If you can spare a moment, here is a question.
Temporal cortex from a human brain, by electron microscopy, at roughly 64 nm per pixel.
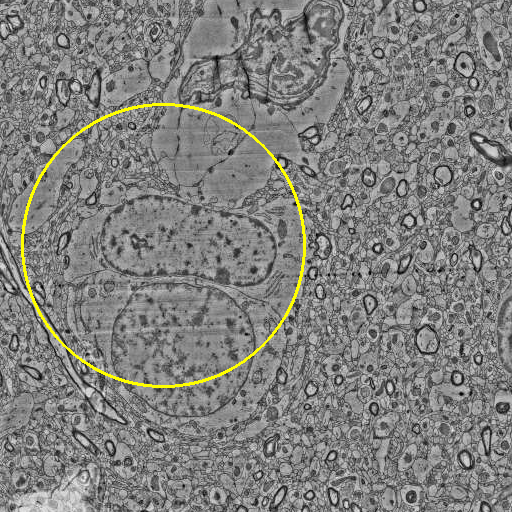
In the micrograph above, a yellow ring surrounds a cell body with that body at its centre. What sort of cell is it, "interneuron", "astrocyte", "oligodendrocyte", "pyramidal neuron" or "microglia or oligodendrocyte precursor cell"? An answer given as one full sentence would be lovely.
Centred inside the yellow ring, the cell body shown belongs to a microglial cell or oligodendrocyte precursor cell in this micrograph.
